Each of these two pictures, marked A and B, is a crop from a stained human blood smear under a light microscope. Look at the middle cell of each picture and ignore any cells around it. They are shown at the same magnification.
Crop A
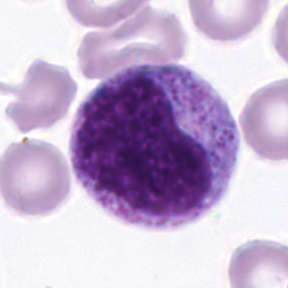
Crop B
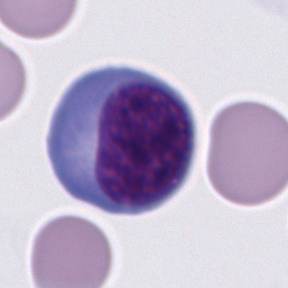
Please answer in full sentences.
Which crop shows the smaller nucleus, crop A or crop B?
It is the nucleus in crop B; the one in crop A has about 1.5 times its area.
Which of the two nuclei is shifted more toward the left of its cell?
The nucleus in crop A lies further toward the left of its cell.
